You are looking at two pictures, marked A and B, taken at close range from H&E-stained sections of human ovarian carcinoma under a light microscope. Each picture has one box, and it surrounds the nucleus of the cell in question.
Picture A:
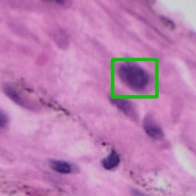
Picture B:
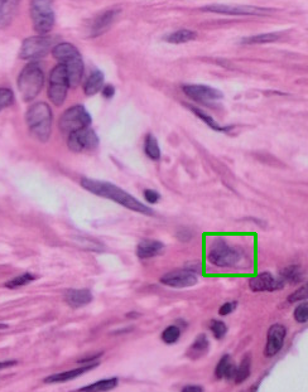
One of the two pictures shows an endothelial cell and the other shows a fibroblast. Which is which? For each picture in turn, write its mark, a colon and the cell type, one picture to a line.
A: fibroblast
B: endothelial cell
